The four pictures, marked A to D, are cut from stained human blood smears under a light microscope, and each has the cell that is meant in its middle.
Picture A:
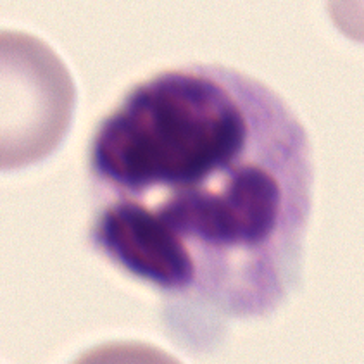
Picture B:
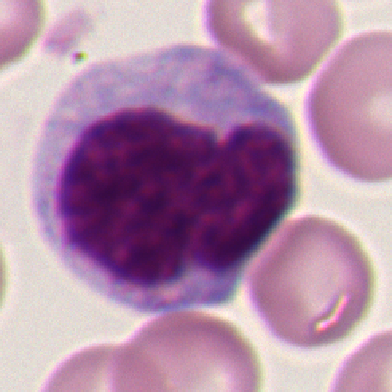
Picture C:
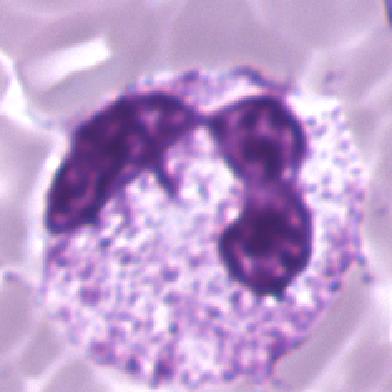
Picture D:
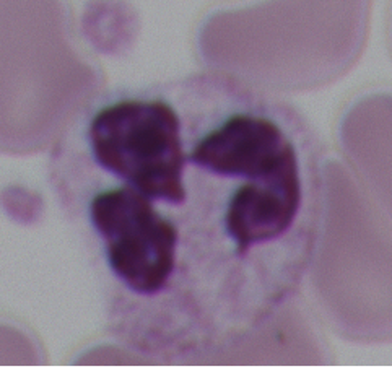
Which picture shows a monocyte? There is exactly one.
B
